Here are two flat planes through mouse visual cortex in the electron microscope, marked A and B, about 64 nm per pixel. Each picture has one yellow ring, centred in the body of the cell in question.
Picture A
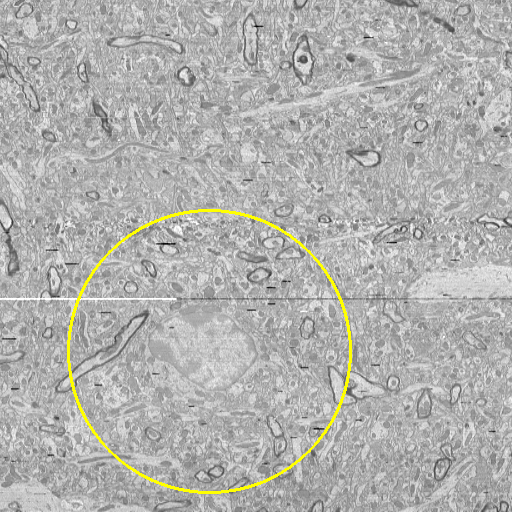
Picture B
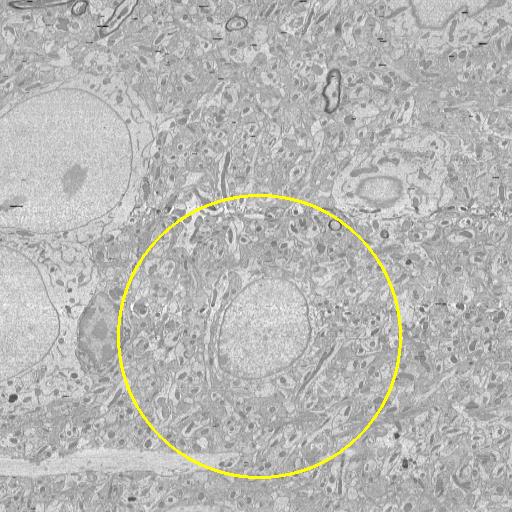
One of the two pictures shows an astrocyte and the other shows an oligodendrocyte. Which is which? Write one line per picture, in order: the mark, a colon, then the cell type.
A: oligodendrocyte
B: astrocyte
